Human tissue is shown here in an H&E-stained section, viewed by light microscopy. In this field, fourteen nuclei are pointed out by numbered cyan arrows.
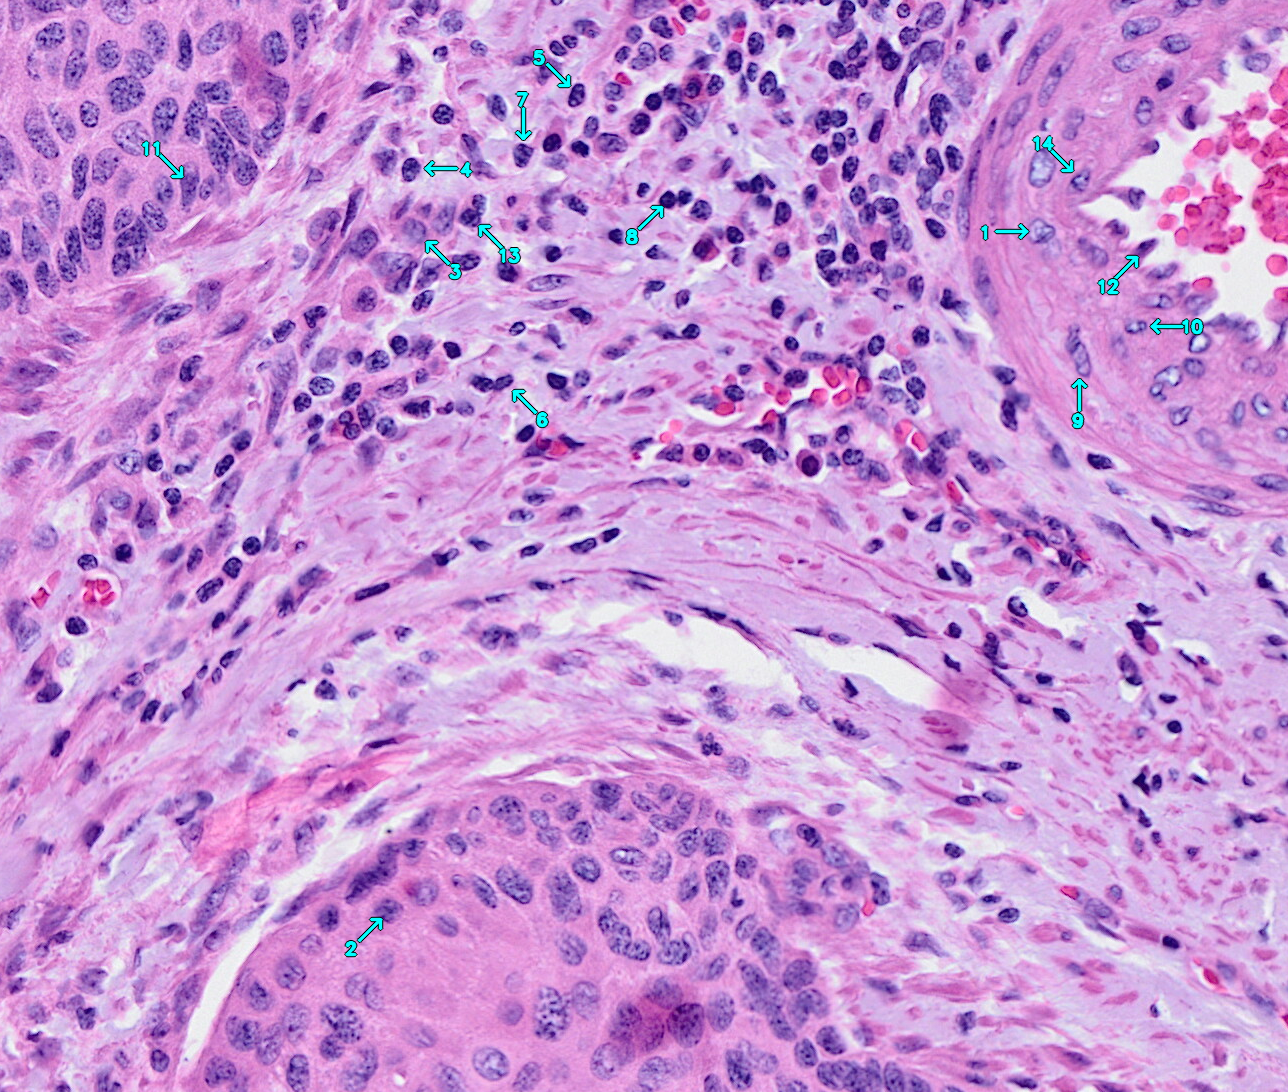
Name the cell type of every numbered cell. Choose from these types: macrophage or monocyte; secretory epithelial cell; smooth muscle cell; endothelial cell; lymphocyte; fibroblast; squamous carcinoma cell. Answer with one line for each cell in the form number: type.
1: smooth muscle cell
2: squamous carcinoma cell
3: endothelial cell
4: lymphocyte
5: lymphocyte
6: lymphocyte
7: lymphocyte
8: lymphocyte
9: smooth muscle cell
10: smooth muscle cell
11: squamous carcinoma cell
12: endothelial cell
13: lymphocyte
14: smooth muscle cell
